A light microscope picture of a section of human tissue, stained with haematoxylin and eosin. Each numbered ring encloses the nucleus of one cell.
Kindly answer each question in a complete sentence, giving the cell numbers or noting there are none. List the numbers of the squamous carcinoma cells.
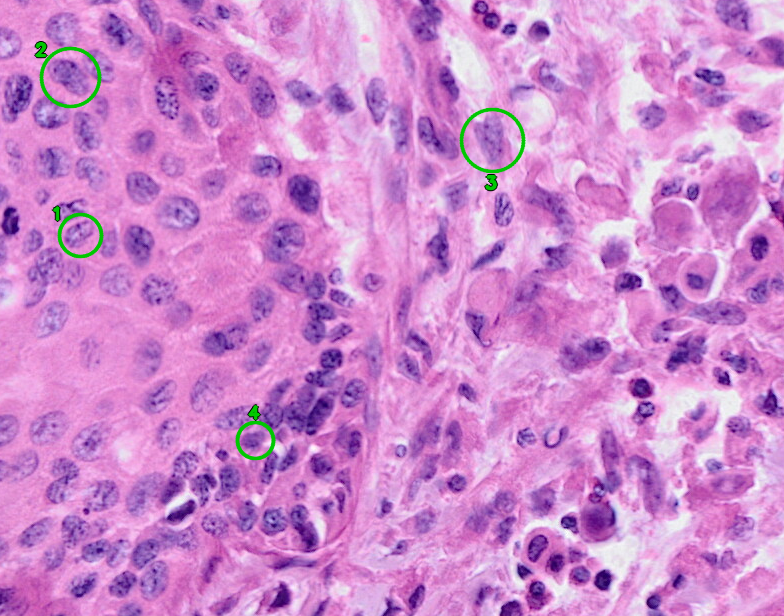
Identification: the cells with numbers 1, 2 and 4 are squamous carcinoma cells.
